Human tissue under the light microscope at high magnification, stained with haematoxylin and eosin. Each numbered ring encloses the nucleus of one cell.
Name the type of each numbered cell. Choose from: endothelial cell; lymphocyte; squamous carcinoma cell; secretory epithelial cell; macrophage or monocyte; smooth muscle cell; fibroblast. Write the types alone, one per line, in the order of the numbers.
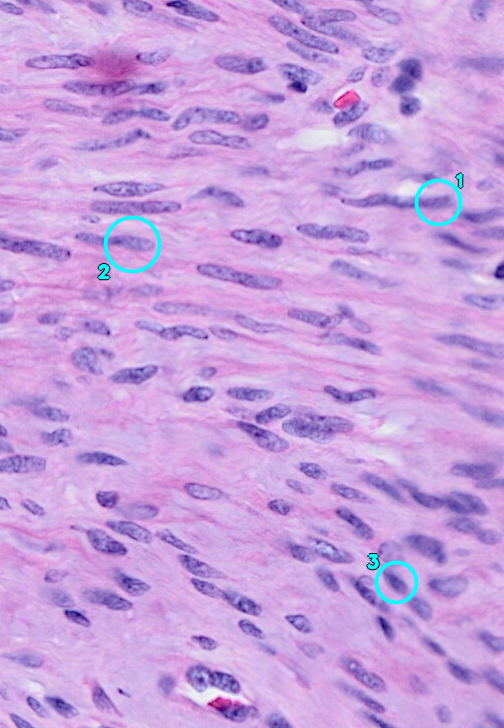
fibroblast
smooth muscle cell
fibroblast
